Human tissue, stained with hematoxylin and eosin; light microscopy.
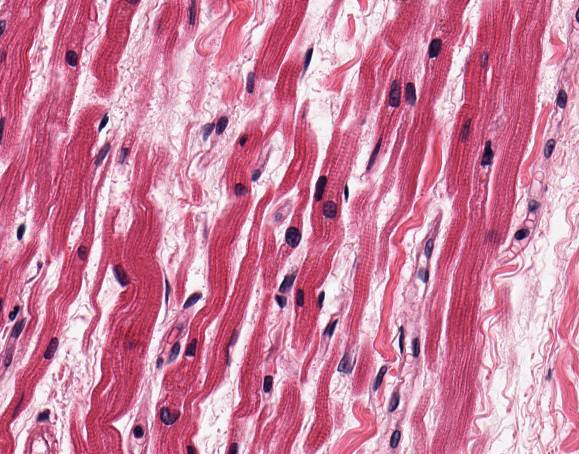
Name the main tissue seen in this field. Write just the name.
myocardium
